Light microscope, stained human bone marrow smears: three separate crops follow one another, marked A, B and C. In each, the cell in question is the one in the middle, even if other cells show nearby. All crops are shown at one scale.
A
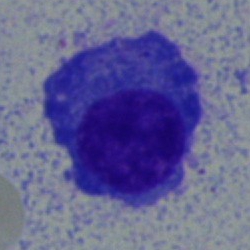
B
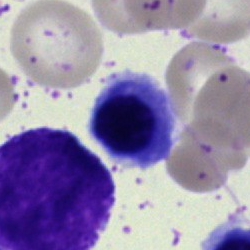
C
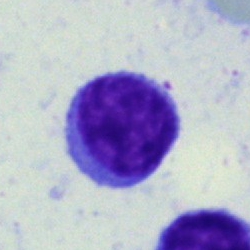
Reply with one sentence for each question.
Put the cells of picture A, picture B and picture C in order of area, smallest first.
Smallest first: B, C, A.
